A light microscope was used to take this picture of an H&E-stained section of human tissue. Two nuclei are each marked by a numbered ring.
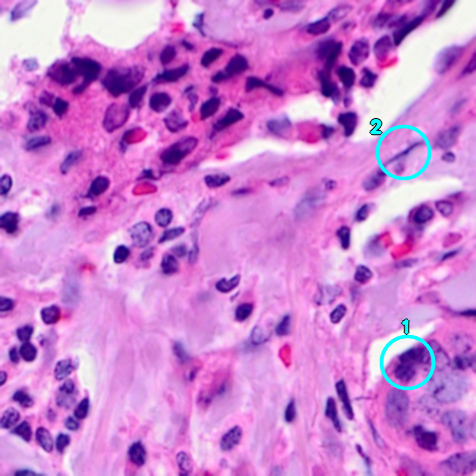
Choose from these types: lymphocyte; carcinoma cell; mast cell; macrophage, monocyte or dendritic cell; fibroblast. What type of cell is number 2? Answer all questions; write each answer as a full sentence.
The cell identified by the number 2 is a fibroblast.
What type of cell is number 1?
Cell 1 is classified as a carcinoma cell.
